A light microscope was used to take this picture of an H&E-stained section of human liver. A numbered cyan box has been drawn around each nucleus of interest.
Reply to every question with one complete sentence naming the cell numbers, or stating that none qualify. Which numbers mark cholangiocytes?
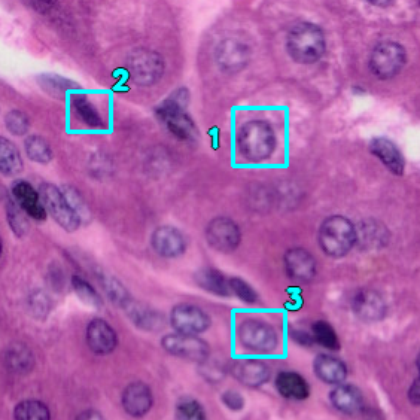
Only at number 3 is there a cholangiocyte.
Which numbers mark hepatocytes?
Nothing but cell 1 is a hepatocyte among the numbered ones.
